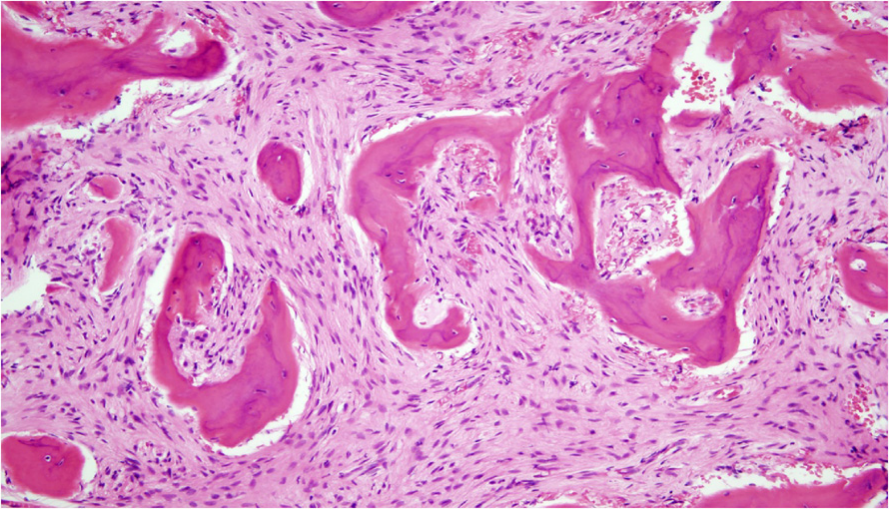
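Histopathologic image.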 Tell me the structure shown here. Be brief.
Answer: Curvilinear immature bone trabeculae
